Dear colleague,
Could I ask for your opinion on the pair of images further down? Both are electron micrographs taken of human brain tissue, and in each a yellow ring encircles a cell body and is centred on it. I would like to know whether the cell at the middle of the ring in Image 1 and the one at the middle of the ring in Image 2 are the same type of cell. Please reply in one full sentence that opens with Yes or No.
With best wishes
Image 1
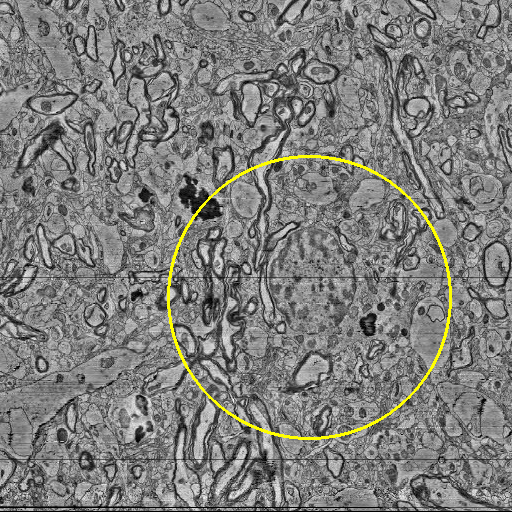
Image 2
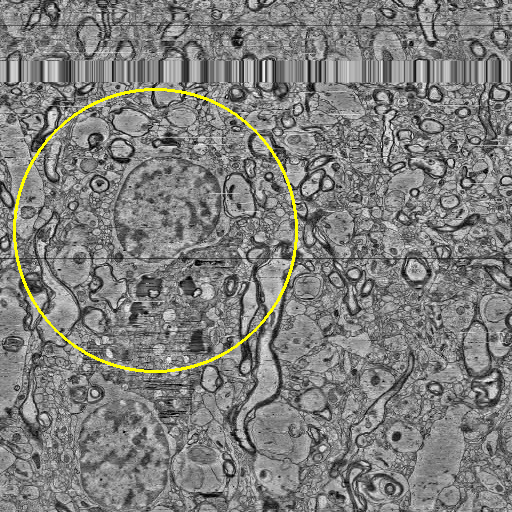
Yes, the cells at the ring centres in Image 1 and Image 2 are of one type.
